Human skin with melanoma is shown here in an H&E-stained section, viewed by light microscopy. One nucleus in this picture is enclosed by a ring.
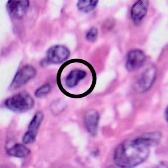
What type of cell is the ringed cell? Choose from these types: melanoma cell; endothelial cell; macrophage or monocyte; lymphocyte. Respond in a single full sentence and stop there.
In terms of identity, the ringed cell is a lymphocyte.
